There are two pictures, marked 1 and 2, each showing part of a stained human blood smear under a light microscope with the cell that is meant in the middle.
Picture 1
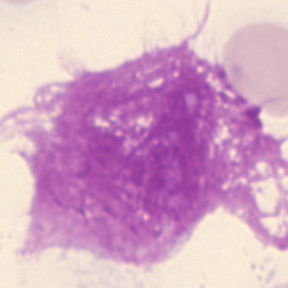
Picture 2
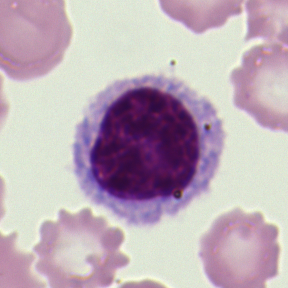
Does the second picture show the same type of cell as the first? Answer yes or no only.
no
